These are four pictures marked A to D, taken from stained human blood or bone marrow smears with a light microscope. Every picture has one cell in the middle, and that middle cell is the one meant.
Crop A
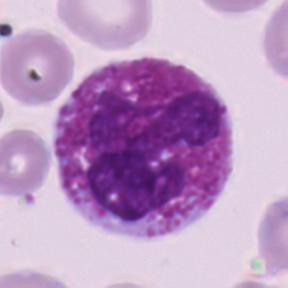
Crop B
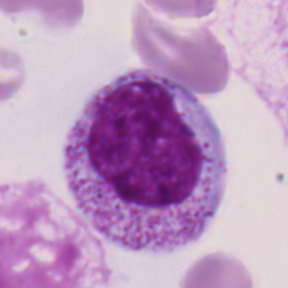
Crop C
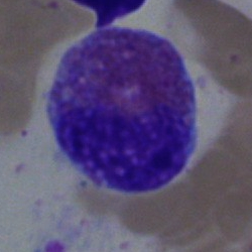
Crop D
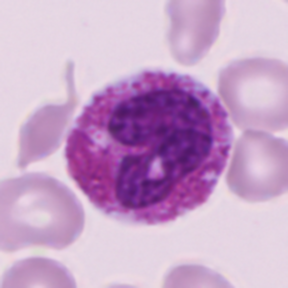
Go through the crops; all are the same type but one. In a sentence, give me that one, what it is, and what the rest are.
Whereas the other crops show eosinophils, crop B is a metamyelocyte.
